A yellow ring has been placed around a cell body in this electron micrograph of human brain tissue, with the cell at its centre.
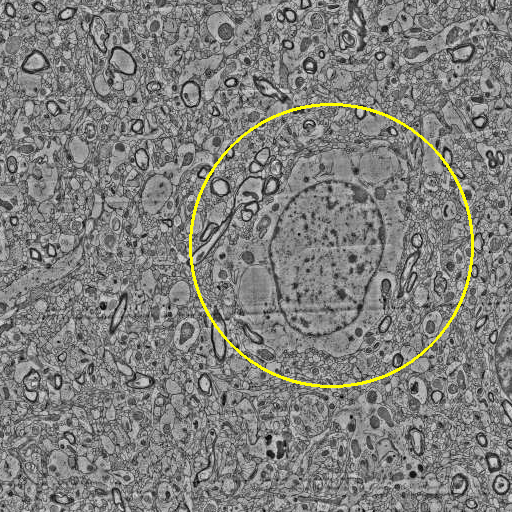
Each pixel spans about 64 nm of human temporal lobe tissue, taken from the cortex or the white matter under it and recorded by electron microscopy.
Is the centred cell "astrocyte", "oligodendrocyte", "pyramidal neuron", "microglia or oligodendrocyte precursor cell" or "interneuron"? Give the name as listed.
astrocyte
